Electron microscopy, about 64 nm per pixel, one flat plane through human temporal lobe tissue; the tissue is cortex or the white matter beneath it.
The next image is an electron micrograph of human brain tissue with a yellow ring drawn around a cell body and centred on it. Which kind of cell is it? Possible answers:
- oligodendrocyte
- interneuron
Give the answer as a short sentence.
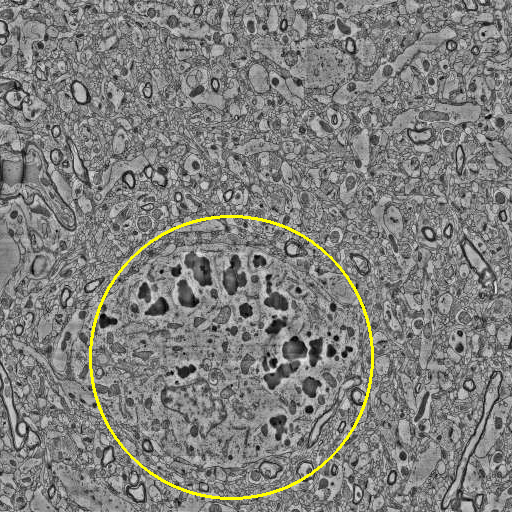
In the ring's centre is an interneuron.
